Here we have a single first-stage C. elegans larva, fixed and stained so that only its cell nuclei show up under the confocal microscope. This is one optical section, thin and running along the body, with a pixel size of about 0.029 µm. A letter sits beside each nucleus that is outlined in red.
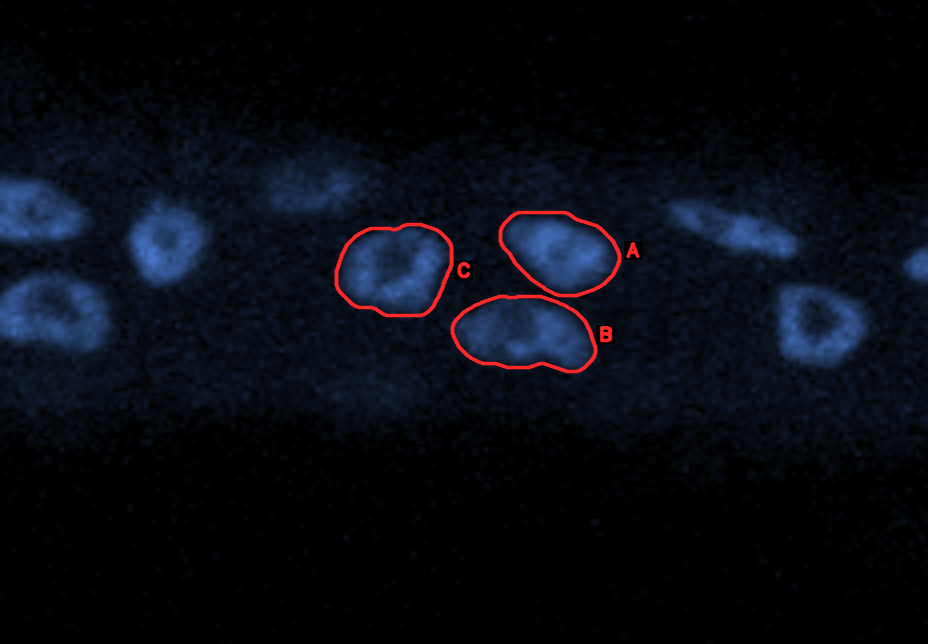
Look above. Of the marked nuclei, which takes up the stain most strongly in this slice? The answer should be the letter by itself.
A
